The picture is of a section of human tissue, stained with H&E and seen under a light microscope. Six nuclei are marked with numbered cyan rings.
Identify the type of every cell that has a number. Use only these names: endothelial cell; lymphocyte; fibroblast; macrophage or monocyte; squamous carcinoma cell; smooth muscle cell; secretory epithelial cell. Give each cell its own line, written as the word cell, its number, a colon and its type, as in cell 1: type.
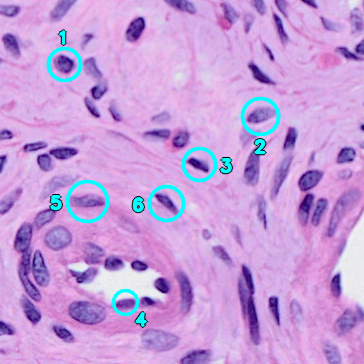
cell 1: fibroblast
cell 2: fibroblast
cell 3: fibroblast
cell 4: endothelial cell
cell 5: smooth muscle cell
cell 6: fibroblast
